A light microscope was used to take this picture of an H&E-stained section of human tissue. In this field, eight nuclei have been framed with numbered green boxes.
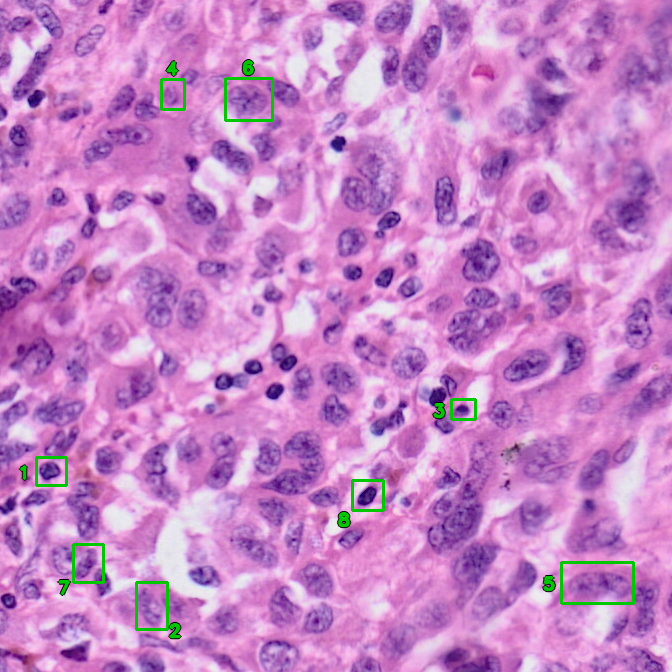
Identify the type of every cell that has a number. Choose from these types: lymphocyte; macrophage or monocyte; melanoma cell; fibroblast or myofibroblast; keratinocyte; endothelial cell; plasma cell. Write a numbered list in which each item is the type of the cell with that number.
1. lymphocyte
2. melanoma cell
3. lymphocyte
4. melanoma cell
5. melanoma cell
6. melanoma cell
7. melanoma cell
8. lymphocyte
